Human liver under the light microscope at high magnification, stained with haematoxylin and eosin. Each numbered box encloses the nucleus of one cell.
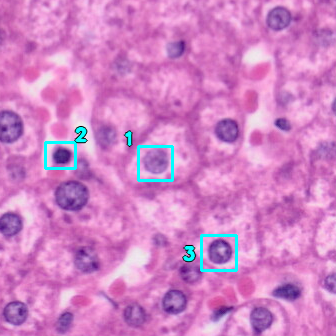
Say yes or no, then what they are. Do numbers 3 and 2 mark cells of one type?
No, hold on, cell 3 is a hepatocyte and cell 2 is a lymphocyte.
